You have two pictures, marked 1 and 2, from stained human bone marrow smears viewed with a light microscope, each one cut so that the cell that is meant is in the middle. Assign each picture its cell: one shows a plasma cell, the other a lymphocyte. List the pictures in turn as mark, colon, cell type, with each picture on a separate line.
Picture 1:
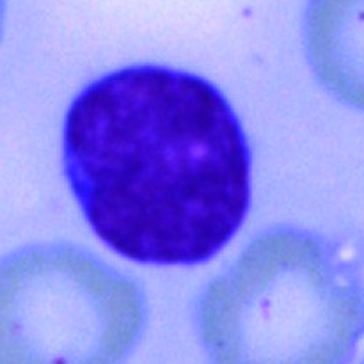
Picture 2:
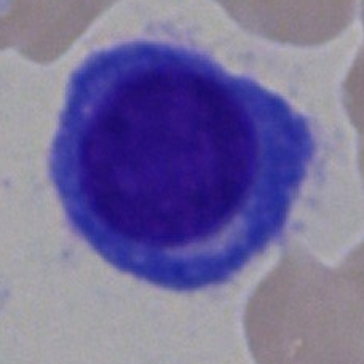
1: lymphocyte
2: plasma cell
